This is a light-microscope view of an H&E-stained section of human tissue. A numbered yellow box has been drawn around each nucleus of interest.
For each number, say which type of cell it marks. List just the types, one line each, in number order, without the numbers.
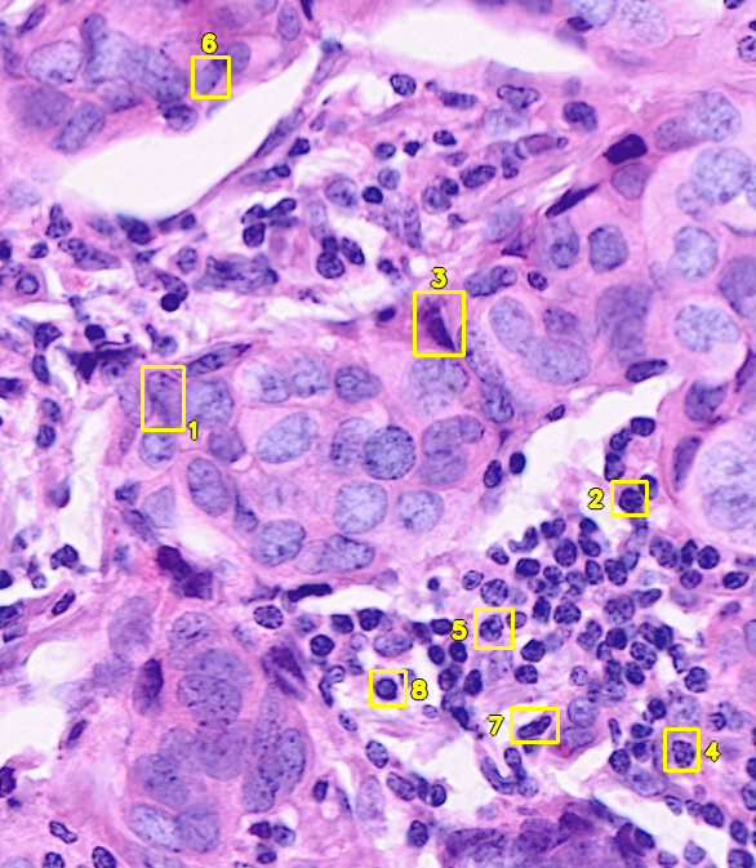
carcinoma cell
lymphocyte
carcinoma cell
lymphocyte
lymphocyte
carcinoma cell
lymphocyte
lymphocyte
